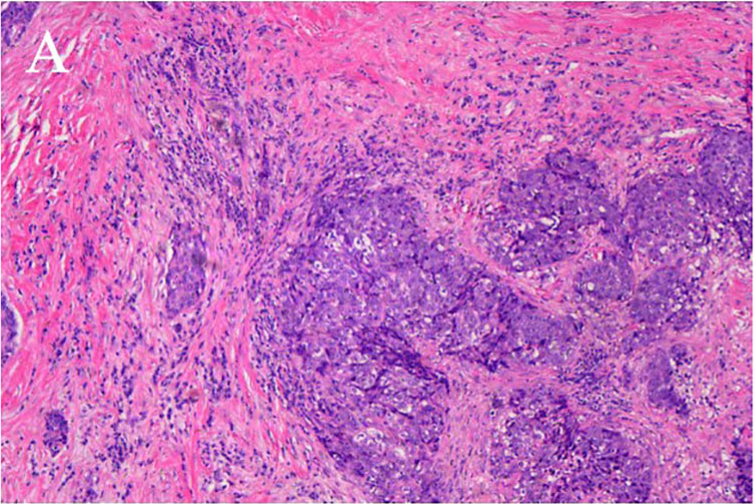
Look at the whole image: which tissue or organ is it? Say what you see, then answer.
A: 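Pink collagen-rich tissue with sparse spindle nuclei lies between the cell clusters. The pink fibrous tissue is broadest along the left and top of the field. So: bands of dense fibrous stroma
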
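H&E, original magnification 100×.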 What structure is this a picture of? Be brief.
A: Irregular nests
